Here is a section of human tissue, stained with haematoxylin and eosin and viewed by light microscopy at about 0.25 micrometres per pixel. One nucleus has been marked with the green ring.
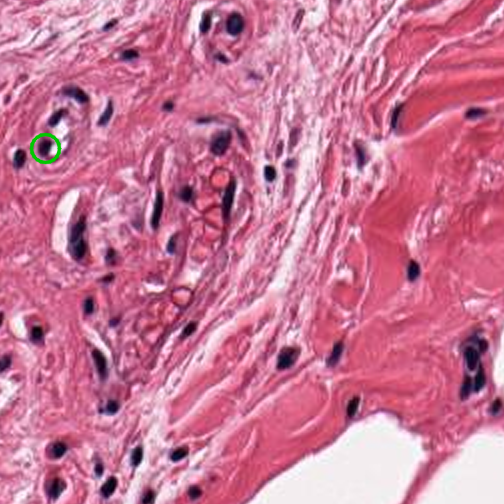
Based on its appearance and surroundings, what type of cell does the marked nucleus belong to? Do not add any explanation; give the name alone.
endothelial cell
